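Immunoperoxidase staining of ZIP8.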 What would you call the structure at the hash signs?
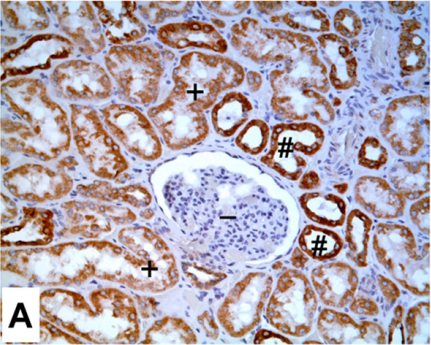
Distal tubule.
